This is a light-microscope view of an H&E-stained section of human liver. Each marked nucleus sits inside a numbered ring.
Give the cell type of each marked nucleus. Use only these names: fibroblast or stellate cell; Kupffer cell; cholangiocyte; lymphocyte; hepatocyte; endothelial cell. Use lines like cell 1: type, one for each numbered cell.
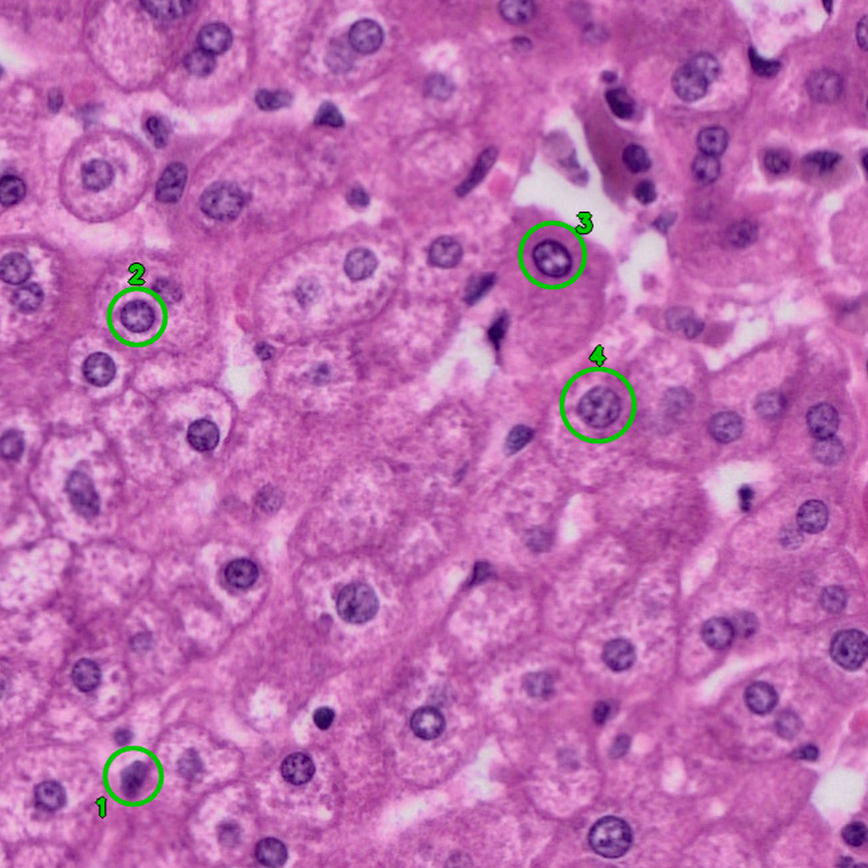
cell 1: endothelial cell
cell 2: hepatocyte
cell 3: hepatocyte
cell 4: hepatocyte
